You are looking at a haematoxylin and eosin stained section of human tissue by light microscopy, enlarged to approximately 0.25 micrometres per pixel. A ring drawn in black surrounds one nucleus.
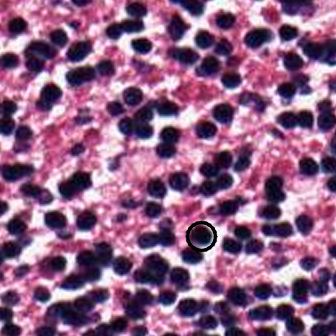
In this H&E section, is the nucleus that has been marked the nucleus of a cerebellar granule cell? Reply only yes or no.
yes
